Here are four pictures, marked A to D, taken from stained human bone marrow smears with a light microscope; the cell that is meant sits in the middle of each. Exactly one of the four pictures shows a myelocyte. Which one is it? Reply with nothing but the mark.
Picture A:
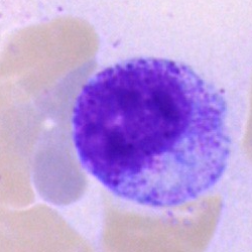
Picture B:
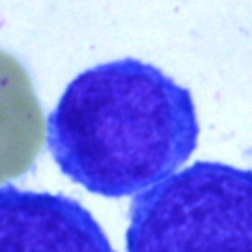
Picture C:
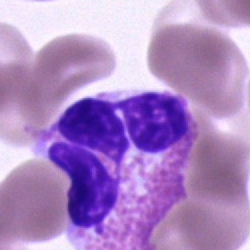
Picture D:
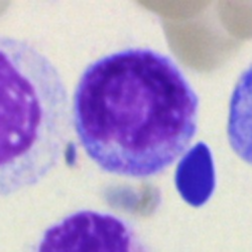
A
